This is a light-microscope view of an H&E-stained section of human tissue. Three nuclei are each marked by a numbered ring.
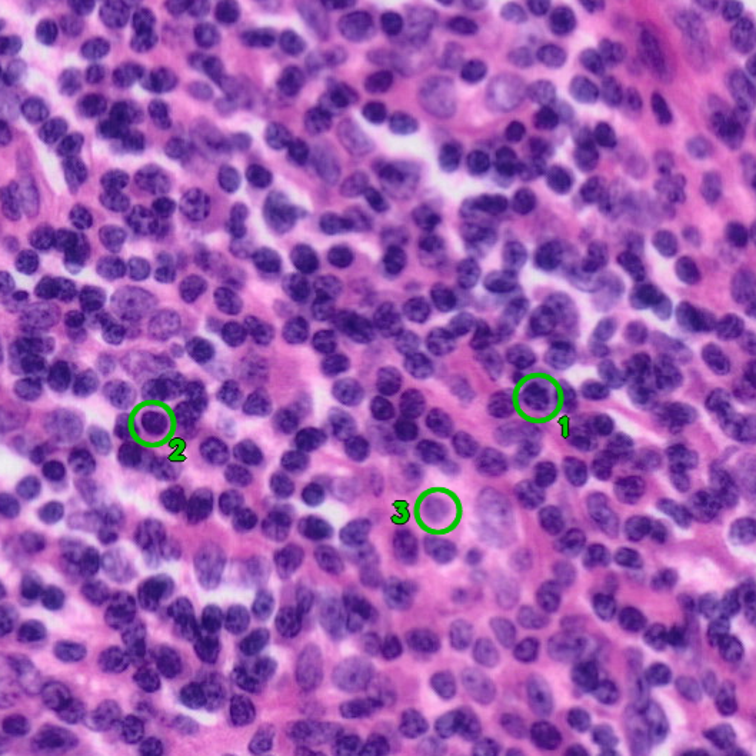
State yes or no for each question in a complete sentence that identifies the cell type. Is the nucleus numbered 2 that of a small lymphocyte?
Yes, in this tissue section, number 2 is a small lymphocyte.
